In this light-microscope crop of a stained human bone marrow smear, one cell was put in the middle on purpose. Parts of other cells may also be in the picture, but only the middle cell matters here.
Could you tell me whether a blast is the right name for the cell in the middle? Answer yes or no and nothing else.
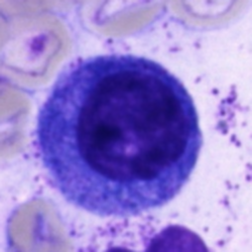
no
